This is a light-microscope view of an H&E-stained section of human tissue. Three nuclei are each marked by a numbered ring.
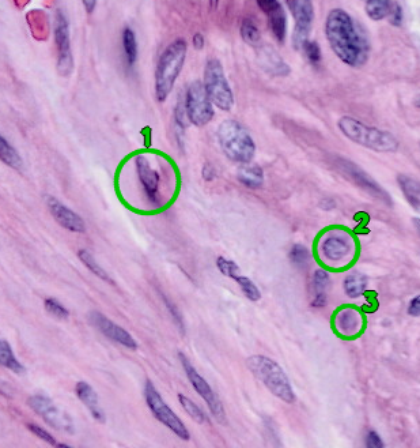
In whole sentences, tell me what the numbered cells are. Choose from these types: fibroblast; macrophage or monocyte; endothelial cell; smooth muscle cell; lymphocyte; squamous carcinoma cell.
Cell 1 is a macrophage or monocyte. Cells 2 and 3 are smooth muscle cells.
